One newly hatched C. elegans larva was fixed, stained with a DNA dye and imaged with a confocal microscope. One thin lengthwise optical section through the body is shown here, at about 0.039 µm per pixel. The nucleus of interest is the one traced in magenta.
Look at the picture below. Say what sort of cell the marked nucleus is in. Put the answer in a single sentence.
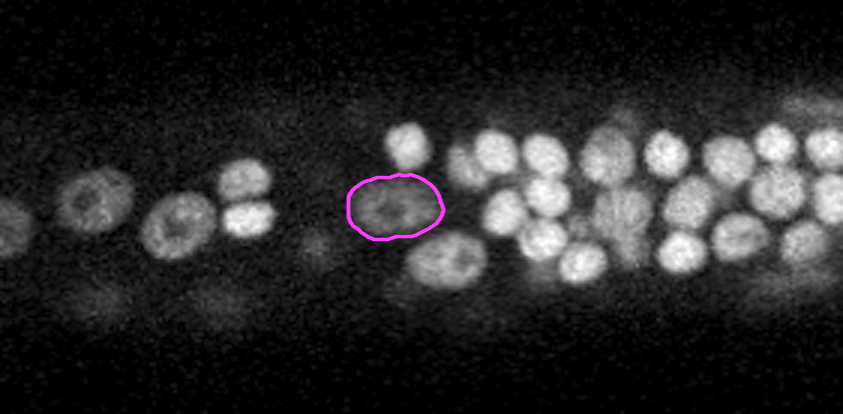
This is the nucleus of a seam cell.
